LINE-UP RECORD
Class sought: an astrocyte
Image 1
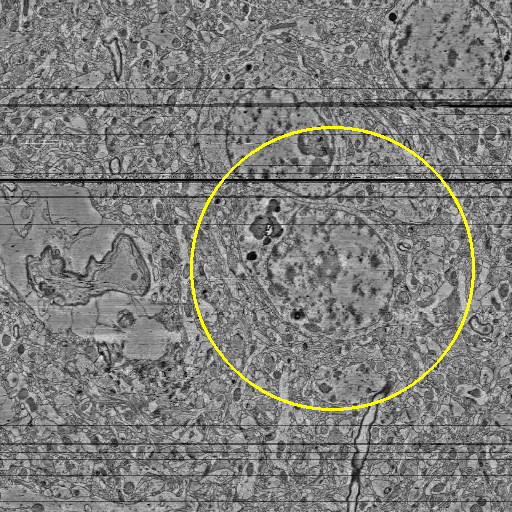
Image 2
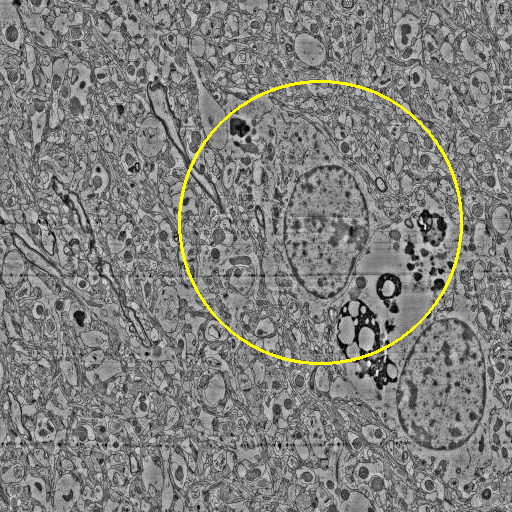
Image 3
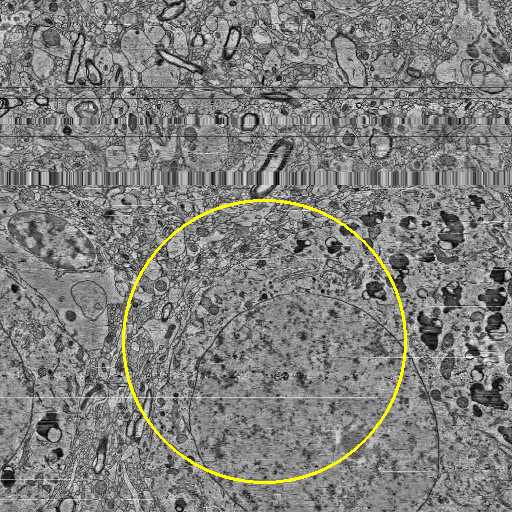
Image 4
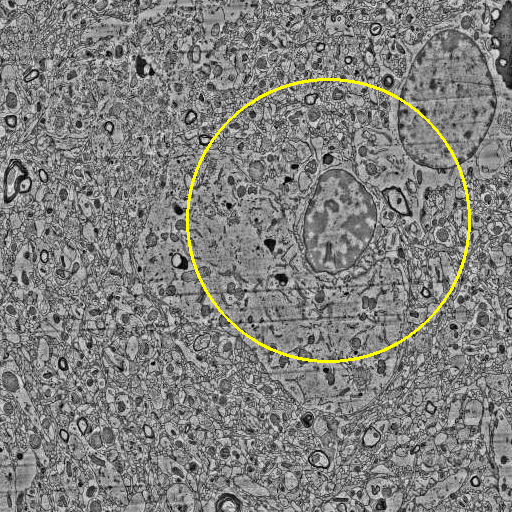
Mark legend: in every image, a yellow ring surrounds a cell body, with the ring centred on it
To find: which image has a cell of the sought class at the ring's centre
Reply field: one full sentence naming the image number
The ring-centred cell of image 2 belongs to the class sought.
